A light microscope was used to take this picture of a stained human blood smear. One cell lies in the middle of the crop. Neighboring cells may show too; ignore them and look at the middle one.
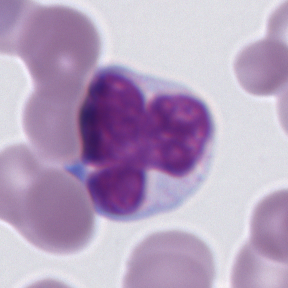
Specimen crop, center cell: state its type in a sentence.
Classification of the middle cell gives a large granular lymphocyte.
